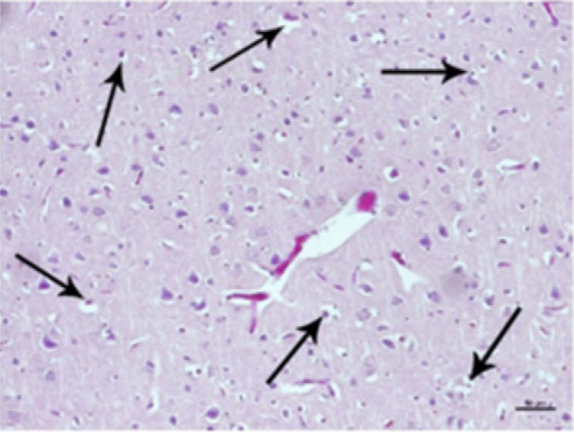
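This is brain cortex with many neurons scattered through a pale lilac neuropil. Many of the neurons are small and darkly stained, and a number of them sit inside clear, empty halos, giving the tissue a vacuolated look around the cells. These degenerated-looking neurons with perineuronal clear spaces are spread across the field rather than gathered in one place. Near the centre a widened blood vessel with a clear lumen runs through the tissue, its wall and contents stained bright magenta. Smaller vessels and slit-like clear spaces appear elsewhere in the neuropil.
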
